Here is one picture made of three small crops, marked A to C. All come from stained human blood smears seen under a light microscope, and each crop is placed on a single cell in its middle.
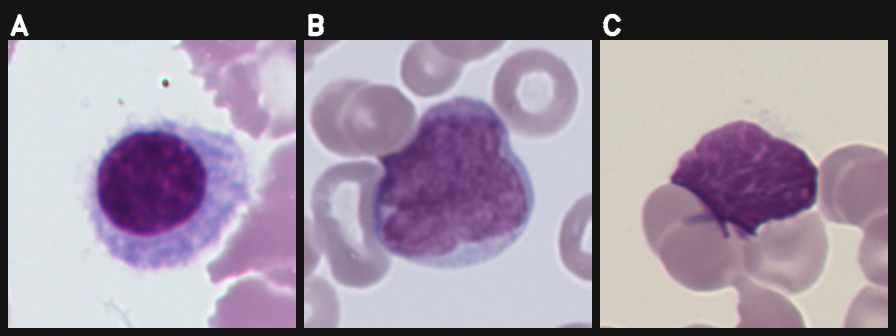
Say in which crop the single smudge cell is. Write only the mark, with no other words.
C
